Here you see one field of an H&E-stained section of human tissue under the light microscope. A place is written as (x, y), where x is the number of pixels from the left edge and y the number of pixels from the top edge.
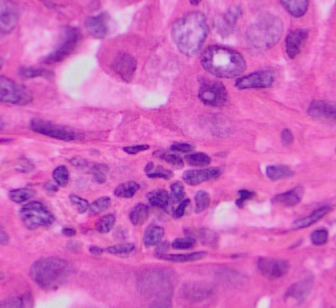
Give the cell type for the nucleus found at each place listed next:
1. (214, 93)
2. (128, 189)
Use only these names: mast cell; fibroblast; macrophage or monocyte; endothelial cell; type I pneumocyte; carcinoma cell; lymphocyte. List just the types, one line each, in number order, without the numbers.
carcinoma cell
lymphocyte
